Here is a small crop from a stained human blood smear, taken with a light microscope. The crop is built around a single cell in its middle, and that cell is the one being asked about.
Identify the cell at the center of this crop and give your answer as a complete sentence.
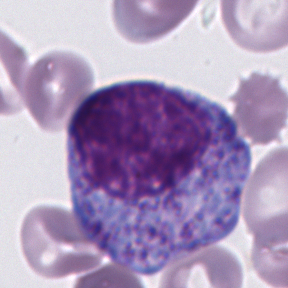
Standing at the centre of this crop is a myelocyte.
